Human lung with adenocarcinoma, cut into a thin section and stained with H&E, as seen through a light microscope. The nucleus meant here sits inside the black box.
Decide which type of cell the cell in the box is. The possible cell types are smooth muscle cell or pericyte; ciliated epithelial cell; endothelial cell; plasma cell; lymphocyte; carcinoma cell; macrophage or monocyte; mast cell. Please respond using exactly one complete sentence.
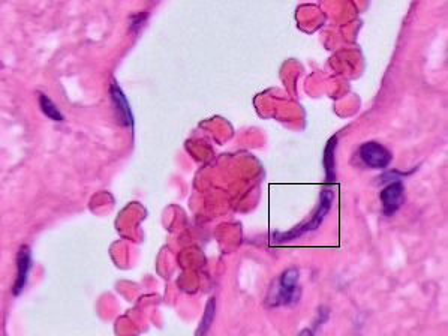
It is as an endothelial cell that the cell in the box is classified.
